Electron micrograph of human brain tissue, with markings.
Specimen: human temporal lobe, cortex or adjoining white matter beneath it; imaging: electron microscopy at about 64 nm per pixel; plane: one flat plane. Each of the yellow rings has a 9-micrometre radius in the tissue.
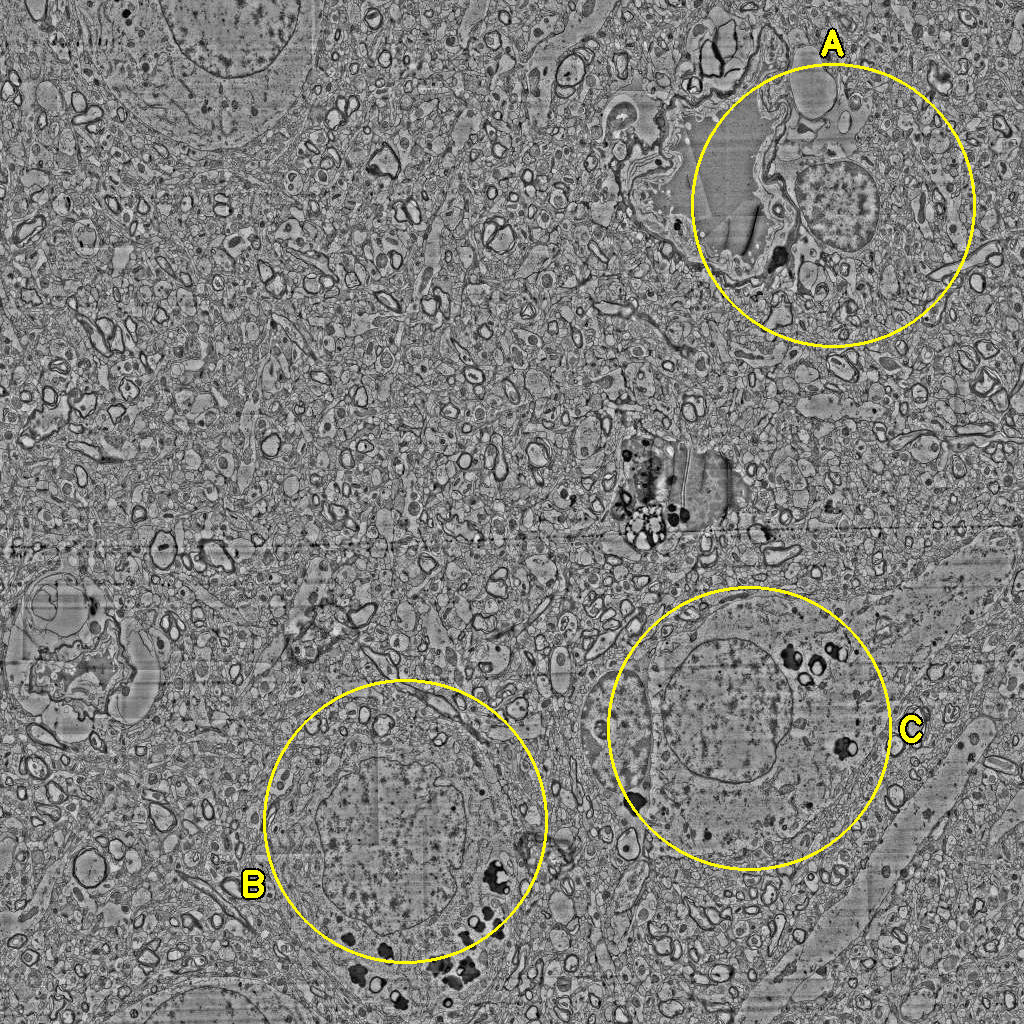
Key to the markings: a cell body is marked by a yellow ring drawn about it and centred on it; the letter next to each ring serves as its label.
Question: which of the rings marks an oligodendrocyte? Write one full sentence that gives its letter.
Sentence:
In this picture, the ring marking that kind of cell has the letter A.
